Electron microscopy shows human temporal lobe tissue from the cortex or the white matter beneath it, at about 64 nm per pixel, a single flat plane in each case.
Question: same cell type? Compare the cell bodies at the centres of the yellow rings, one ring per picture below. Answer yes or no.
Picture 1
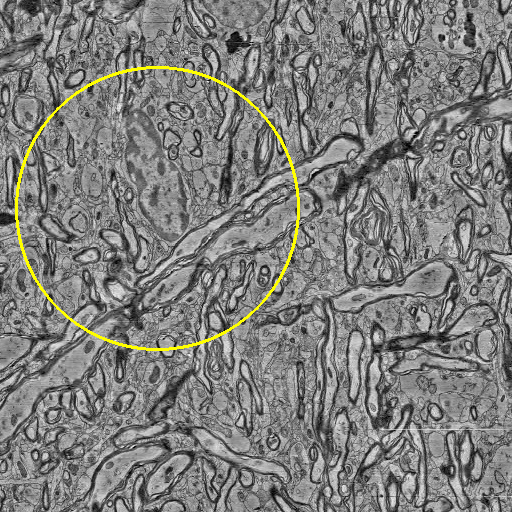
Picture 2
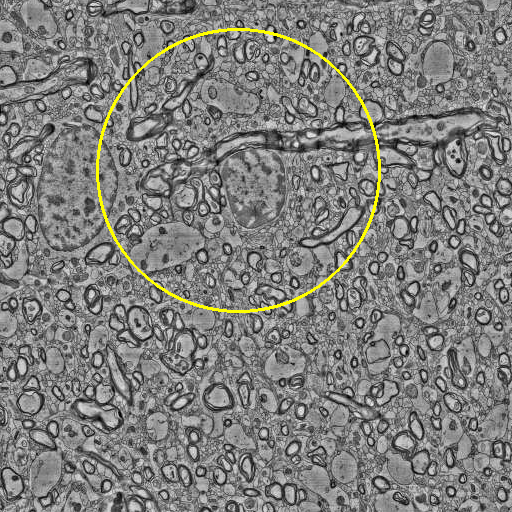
yes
